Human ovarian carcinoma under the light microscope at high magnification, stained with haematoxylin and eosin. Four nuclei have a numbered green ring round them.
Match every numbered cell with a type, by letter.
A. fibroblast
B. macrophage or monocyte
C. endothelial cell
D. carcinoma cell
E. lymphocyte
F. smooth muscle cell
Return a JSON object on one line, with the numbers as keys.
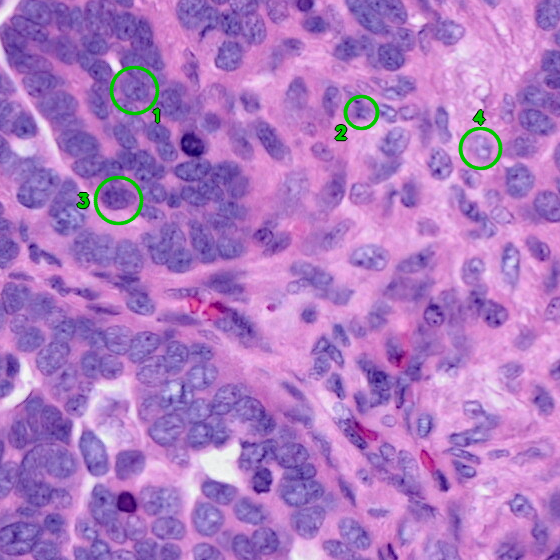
{"1": "D", "2": "A", "3": "D", "4": "A"}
